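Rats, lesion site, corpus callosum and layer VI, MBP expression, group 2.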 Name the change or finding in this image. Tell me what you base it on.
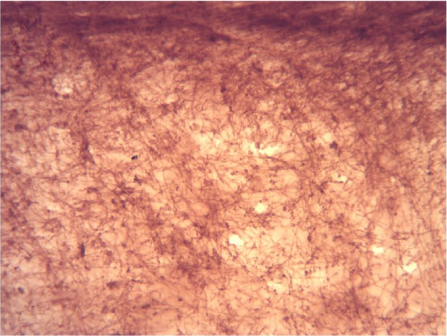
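Pale, unstained gaps lie scattered through the tissue. Brown fibres are thin and loosely spread between the gaps.
Hence: wide spaces in the parenchyma.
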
